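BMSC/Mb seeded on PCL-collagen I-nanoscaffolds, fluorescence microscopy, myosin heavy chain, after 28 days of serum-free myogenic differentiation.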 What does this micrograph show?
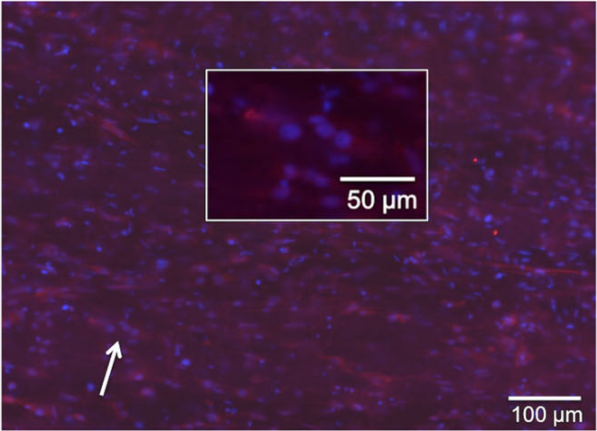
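Densely populated scaffold with many small blue oval nuclei and patchy red cytoplasmic fluorescence, among them multinucleated cells. The cells are spindle-shaped and broadly aligned in one direction. Nuclear density is higher than in a sparse culture, with nuclei crowded throughout the field.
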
